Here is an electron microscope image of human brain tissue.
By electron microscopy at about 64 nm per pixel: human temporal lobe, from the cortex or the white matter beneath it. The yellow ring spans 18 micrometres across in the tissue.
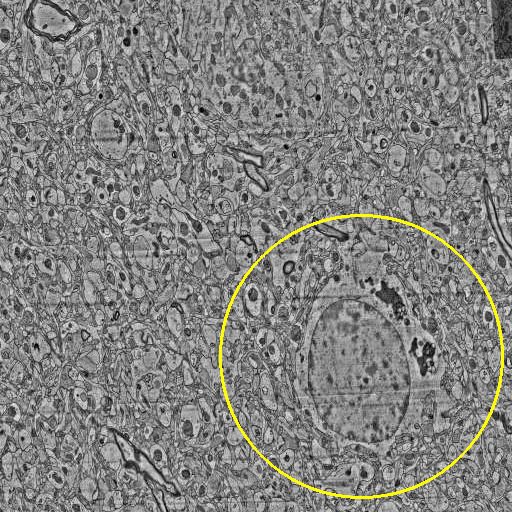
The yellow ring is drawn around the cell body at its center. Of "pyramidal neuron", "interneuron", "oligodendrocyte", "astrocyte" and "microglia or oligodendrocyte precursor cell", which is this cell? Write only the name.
astrocyte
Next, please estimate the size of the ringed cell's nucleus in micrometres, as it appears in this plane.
In this plane the nucleus spans approximately 9 by 6 micrometers.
